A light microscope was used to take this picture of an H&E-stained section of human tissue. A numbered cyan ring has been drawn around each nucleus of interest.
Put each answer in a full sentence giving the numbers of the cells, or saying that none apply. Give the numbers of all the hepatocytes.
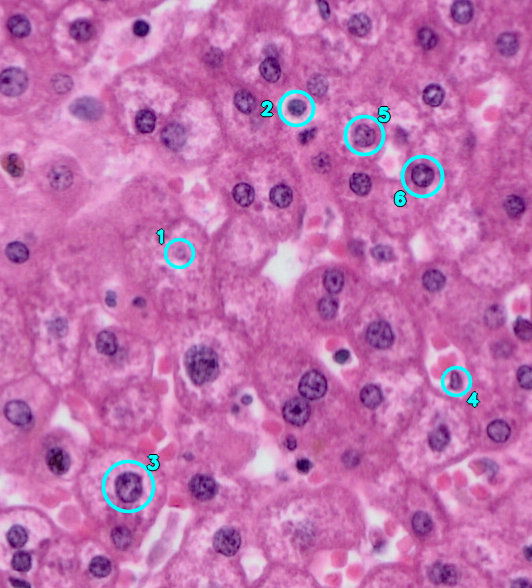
The cells whose numbers are 1, 3, 5 and 6 are hepatocytes.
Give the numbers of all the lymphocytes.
Only cell 2 is a lymphocyte; none of the other numbered cells is.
